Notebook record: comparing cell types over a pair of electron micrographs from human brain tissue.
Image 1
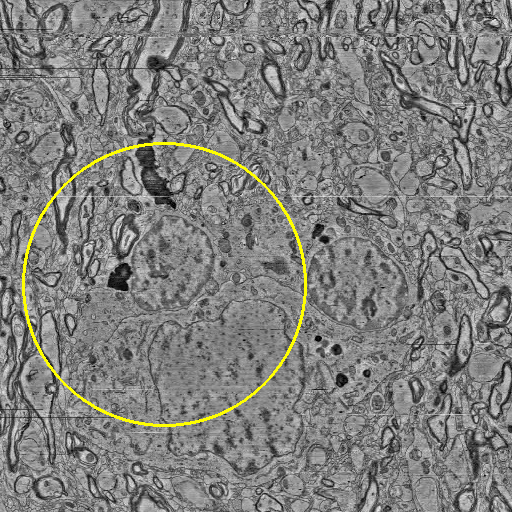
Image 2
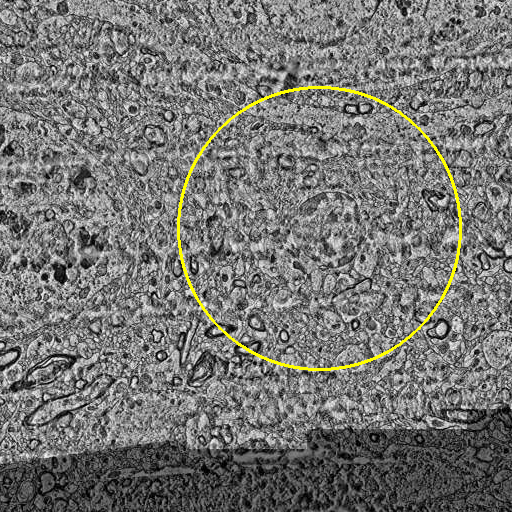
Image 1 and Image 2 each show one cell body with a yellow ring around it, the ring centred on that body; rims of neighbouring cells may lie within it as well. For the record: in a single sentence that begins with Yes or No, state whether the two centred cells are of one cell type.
No, two cell types are found among the centred cells of Image 1 and Image 2.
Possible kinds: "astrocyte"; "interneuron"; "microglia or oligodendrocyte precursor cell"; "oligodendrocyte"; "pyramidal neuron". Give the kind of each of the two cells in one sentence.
The cell in the second picture is a microglial cell or oligodendrocyte precursor cell, and that in the first is an oligodendrocyte.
